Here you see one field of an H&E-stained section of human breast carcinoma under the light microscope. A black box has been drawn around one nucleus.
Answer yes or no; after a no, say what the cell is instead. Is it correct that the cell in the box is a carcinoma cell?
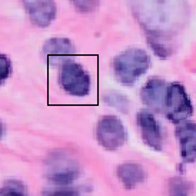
No, it is a lymphocyte.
